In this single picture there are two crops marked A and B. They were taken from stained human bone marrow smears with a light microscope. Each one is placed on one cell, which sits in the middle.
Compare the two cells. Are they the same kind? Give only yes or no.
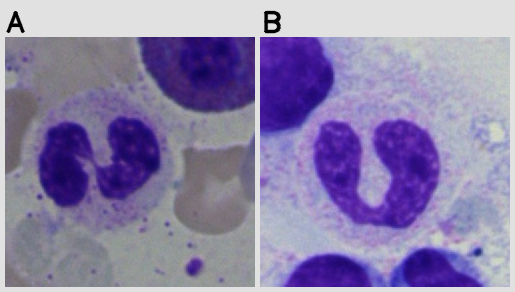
yes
